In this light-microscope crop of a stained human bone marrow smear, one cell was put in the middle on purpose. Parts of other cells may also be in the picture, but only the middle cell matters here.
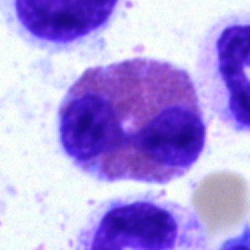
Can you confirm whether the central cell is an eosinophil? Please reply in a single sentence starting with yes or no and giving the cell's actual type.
Yes, the cell in the exact middle is an eosinophil.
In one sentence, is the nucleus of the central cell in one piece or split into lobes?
Its nucleus is lobed, with at least two separate segments.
